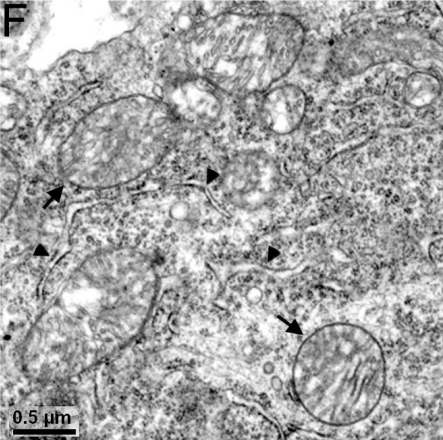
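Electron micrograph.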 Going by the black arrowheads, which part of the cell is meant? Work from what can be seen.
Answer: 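The arrowheads point at thin elongated membrane profiles between the larger organelles. Many small dark granules lie in the surrounding cytoplasm.
Hence: rough endoplasmic reticulum.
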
